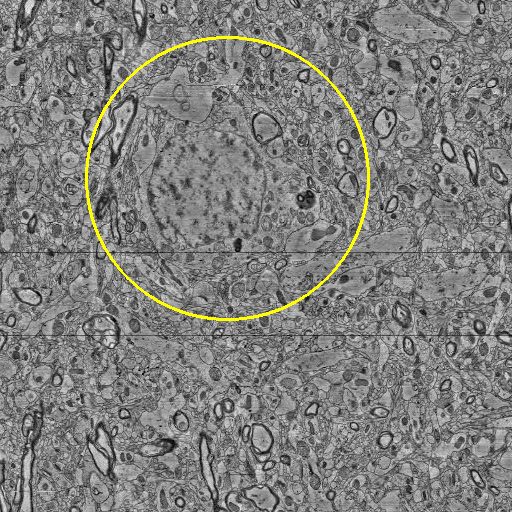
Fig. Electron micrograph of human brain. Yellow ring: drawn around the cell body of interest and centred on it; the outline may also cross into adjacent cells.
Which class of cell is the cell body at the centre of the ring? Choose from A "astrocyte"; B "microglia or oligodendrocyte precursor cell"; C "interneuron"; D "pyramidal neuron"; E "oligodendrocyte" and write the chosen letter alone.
C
